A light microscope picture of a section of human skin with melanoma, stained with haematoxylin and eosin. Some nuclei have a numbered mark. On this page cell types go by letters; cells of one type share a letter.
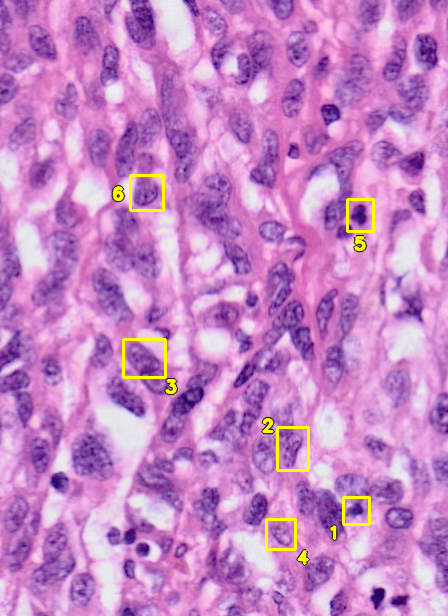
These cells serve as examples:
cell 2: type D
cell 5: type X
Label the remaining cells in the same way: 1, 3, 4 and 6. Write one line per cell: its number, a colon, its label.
1: type X
3: type D
4: type D
6: type D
